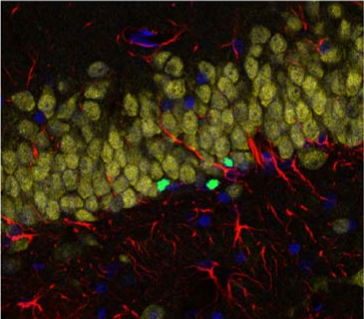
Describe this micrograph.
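This fluorescence image shows the granule cell layer of the dentate gyrus and the region beneath it. The upper part is a thick band of closely packed, round yellow nuclei of granule cells. At the lower border of this band lie three small, bright green nuclei, grouped close together. A few yellow nuclei also lie scattered in this lower region.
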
